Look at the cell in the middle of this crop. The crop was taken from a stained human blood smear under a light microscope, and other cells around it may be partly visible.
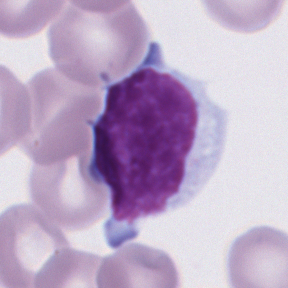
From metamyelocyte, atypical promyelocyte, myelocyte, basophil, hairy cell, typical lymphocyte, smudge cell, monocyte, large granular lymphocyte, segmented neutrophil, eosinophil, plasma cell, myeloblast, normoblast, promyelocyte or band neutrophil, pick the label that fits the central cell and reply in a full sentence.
In the crop, the cell of interest at the centre is a typical lymphocyte.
